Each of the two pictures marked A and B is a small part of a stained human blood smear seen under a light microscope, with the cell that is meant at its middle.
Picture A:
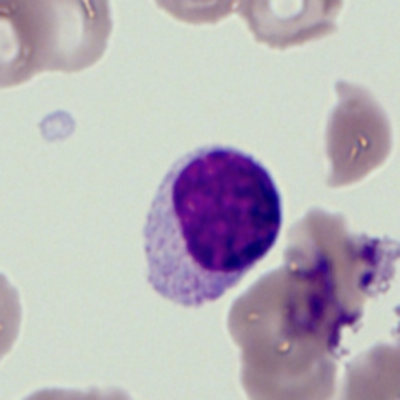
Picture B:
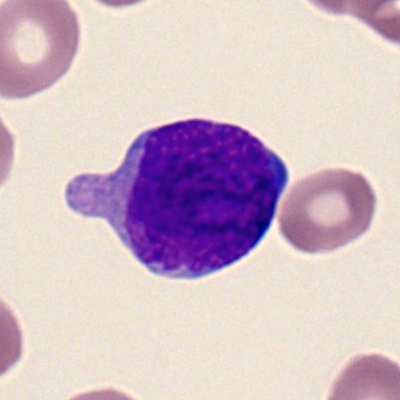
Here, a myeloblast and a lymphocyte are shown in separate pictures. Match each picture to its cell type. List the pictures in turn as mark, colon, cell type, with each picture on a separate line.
A: lymphocyte
B: myeloblast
